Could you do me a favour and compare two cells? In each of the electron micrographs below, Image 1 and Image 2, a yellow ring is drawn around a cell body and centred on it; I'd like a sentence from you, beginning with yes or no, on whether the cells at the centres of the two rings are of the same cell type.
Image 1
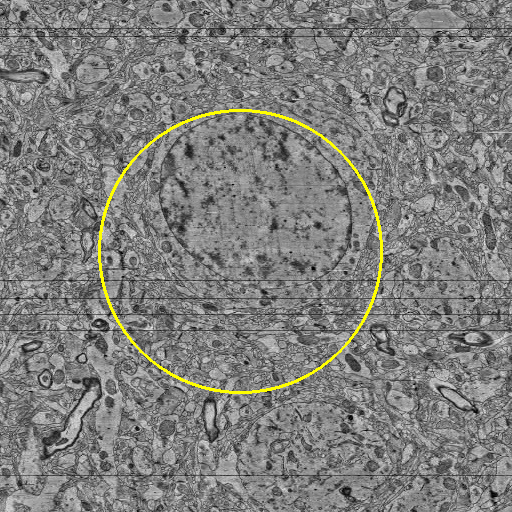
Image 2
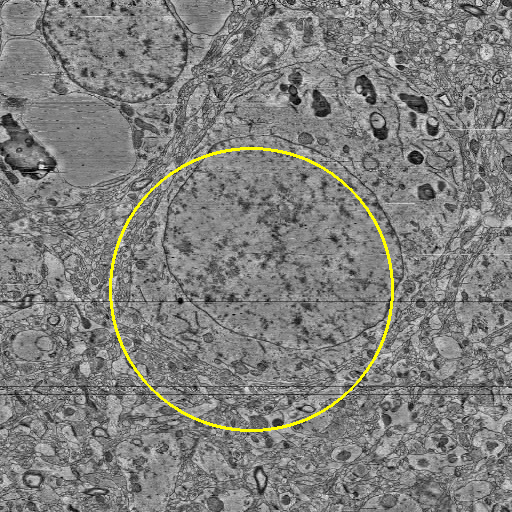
Yes, the two cells are of the same cell type.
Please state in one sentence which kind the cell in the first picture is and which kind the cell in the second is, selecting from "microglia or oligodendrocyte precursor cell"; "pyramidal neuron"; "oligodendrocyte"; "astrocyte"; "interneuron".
Each one of the two ringed cells is a pyramidal neuron.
